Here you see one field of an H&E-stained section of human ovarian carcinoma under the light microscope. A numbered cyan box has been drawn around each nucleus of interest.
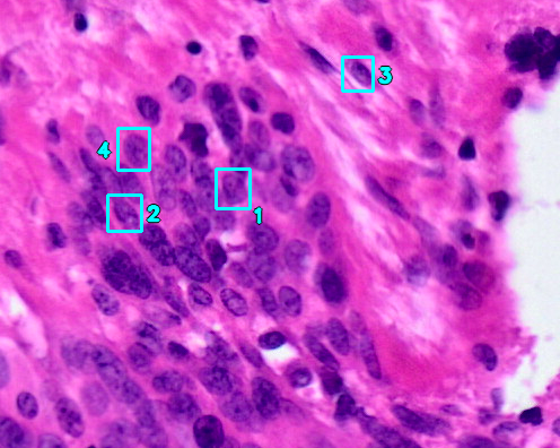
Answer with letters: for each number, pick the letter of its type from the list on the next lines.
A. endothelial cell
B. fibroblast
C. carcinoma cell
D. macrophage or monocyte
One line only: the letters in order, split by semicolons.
C; C; B; C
